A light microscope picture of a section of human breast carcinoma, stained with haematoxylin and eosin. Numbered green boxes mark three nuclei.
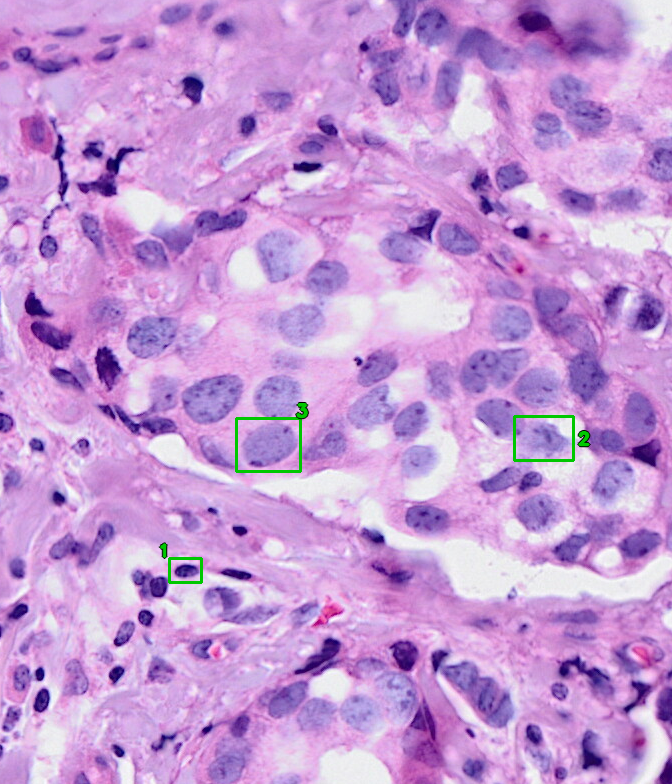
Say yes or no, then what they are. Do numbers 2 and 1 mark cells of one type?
No, cell 2 is a carcinoma cell, and in contrast cell 1 is a lymphocyte.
